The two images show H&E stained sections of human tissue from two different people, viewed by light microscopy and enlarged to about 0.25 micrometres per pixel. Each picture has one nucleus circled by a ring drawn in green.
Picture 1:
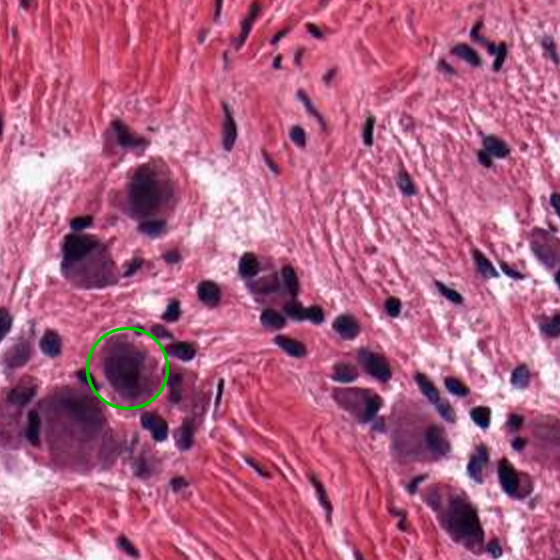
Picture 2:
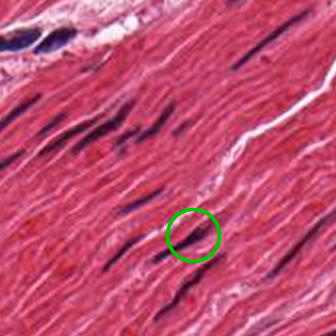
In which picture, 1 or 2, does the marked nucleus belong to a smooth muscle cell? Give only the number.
2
